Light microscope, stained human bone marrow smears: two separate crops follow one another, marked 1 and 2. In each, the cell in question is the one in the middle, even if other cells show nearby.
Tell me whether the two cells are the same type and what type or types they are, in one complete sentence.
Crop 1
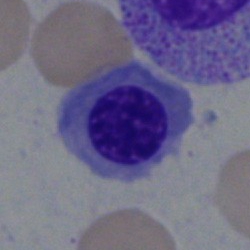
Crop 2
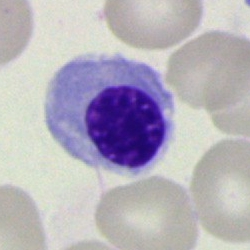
Yes, the central cells, in both crops, are erythroblasts.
